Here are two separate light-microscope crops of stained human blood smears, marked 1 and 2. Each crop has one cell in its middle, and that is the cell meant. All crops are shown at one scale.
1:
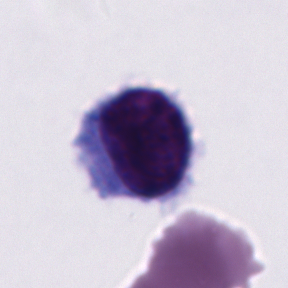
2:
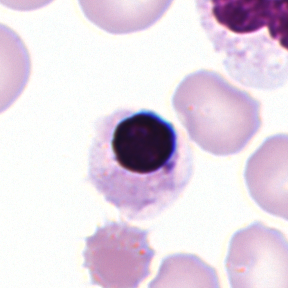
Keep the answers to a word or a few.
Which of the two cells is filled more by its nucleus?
1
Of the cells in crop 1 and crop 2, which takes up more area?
1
